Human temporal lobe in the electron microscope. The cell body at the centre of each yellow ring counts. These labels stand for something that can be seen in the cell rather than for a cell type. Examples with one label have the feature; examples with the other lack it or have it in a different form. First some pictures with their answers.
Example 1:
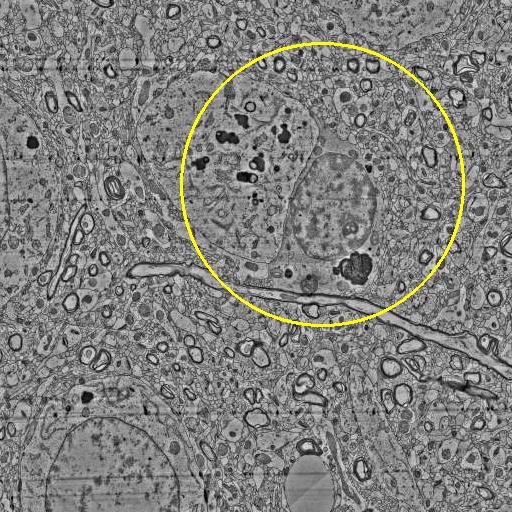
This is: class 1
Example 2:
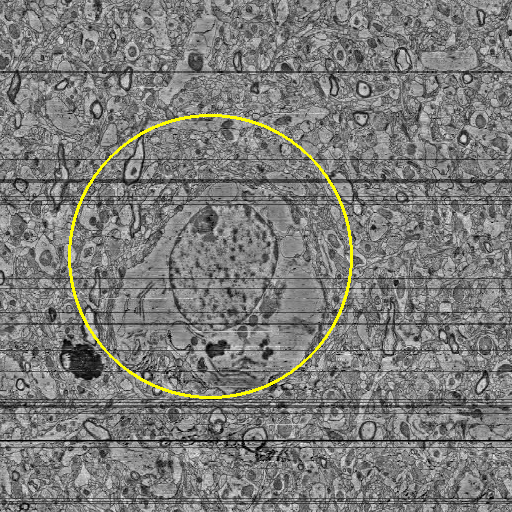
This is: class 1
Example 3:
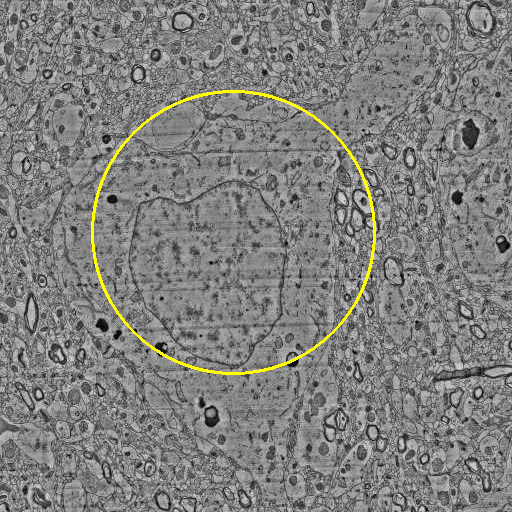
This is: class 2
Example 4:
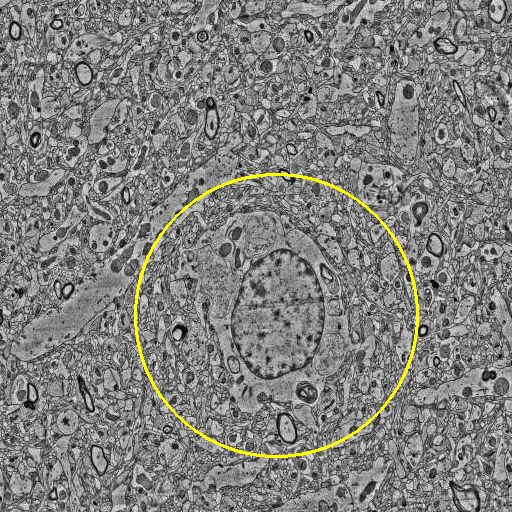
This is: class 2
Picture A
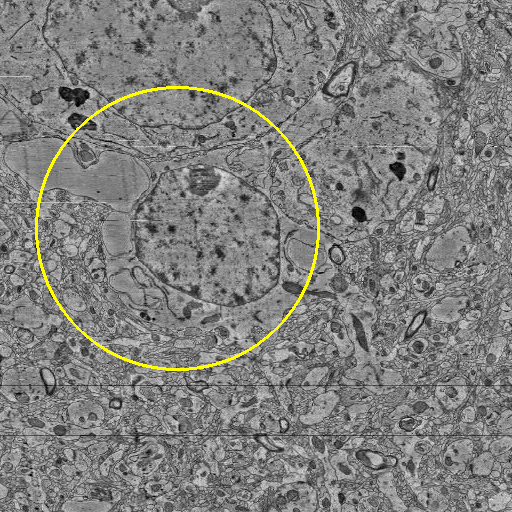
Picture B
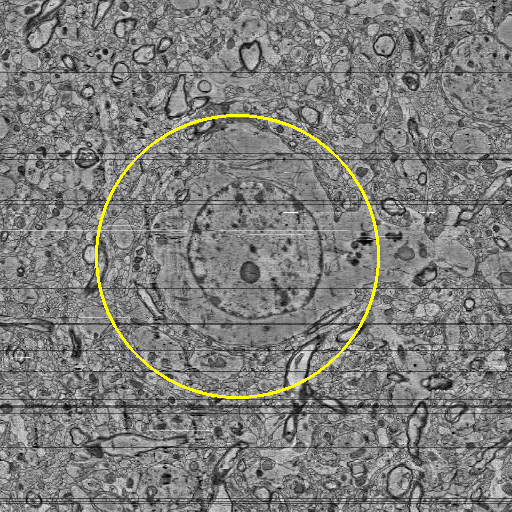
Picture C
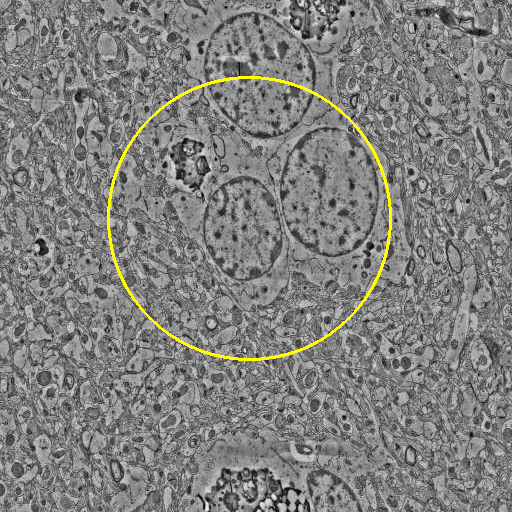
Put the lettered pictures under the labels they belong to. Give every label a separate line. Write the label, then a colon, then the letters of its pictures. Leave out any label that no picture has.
class 1: A, B
class 2: C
